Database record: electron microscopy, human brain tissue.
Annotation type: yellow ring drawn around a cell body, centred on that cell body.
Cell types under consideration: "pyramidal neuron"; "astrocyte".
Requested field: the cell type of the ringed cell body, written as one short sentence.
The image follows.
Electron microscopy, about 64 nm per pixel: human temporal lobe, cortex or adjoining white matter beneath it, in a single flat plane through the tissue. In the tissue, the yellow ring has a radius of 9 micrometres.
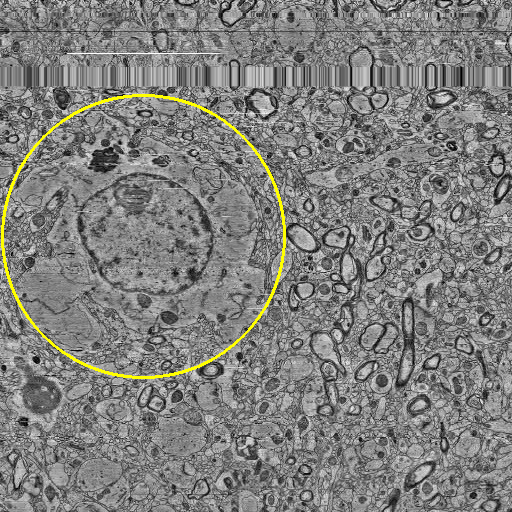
The ringed cell body represents an astrocyte.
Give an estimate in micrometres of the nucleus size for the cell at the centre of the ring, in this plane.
The nucleus measures about 8 micrometers across in this plane.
